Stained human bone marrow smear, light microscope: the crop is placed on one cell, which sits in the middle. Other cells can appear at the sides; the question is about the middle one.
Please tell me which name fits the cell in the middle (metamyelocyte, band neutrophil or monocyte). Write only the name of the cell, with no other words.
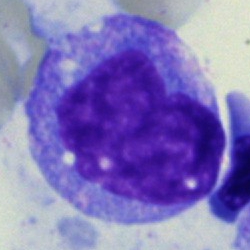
monocyte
